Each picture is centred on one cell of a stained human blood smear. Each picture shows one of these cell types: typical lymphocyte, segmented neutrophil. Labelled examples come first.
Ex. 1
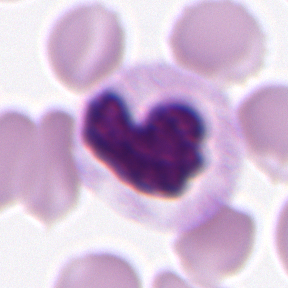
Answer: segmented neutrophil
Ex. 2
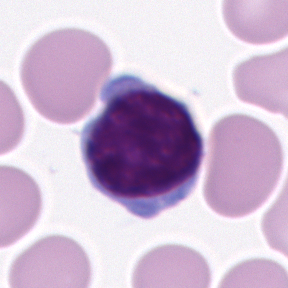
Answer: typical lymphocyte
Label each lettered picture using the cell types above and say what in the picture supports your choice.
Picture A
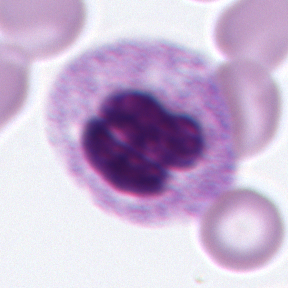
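Answer: segmented neutrophil. The nucleus is divided into several lobes clustered near the centre of the cell.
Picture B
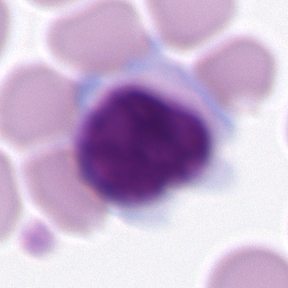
Answer: typical lymphocyte. The cytoplasm is a scant rim of pale blue.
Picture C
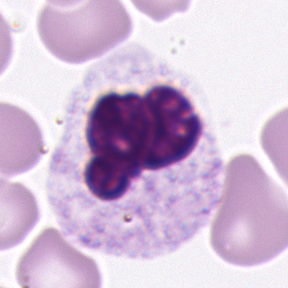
Answer: segmented neutrophil. The cytoplasm is abundant and pale greyish-lilac.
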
